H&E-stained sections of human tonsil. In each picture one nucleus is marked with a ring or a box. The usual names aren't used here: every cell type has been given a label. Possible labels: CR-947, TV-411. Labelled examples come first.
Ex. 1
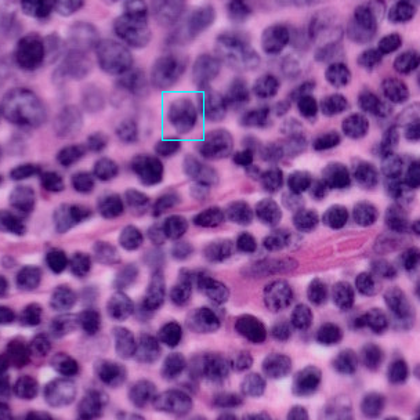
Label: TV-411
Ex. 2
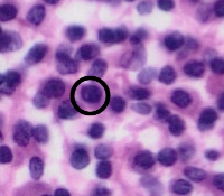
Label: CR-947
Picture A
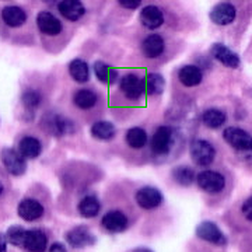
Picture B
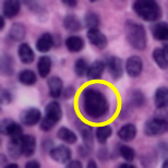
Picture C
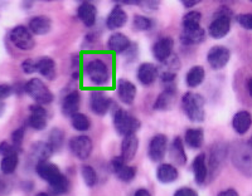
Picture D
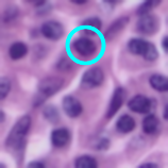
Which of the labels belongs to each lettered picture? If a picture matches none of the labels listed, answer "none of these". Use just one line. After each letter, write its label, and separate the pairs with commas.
A CR-947, B TV-411, C CR-947, D CR-947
